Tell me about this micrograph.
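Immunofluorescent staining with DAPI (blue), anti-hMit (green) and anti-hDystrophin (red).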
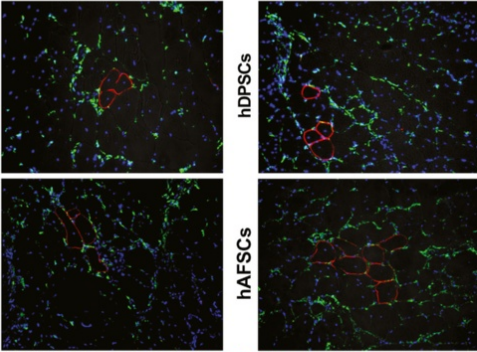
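These are cross-sections of skeletal muscle in which a few muscle fibers are outlined by red rings at their borders. The outlined fibers are polygonal and lie packed against each other in small groups, their interiors dark and unstained. Blue nuclei are scattered across the field, mostly along the edges of the fibers and in the spaces between them rather than in fiber centres. Most fibers in the field carry no red outline and are seen only as dark polygonal spaces framed by nuclei.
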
